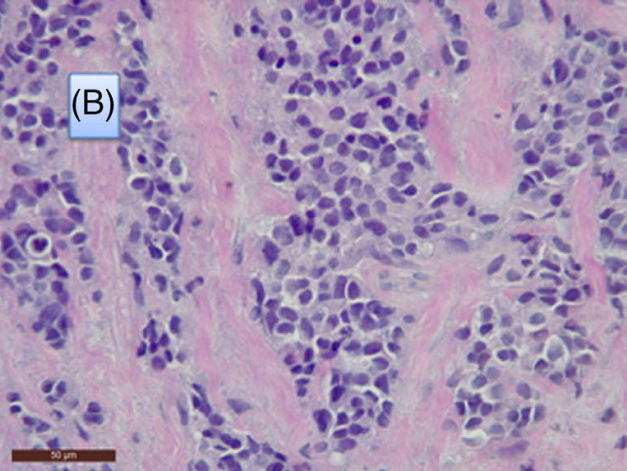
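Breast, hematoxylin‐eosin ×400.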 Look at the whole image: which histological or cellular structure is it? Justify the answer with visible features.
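Crowded dark-nucleated cells form clusters and narrow strands. Pink collagen bands lie between the cell groups. On this evidence: masses and cords of atypical epithelial cells.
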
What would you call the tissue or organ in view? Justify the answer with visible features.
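Pale pink fibrous bands run between the cell groups. That points to this answer: Collagenous stroma.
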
